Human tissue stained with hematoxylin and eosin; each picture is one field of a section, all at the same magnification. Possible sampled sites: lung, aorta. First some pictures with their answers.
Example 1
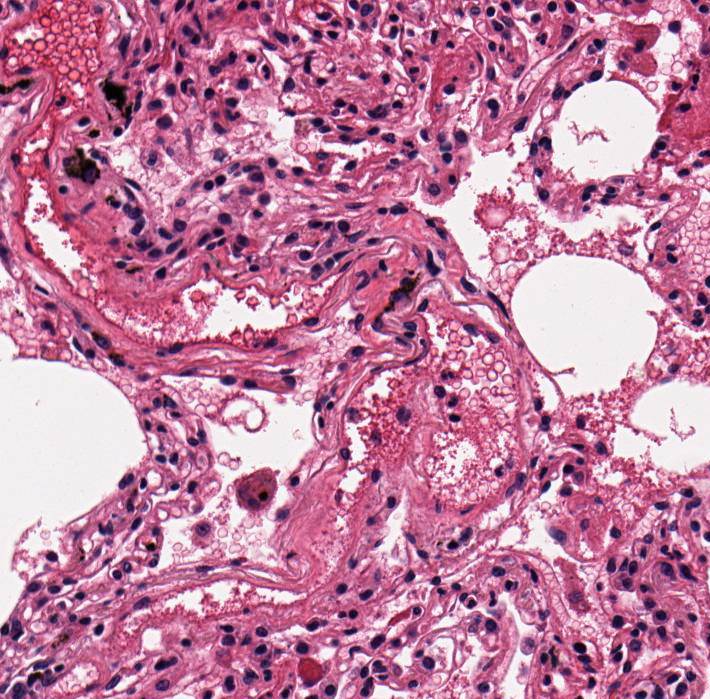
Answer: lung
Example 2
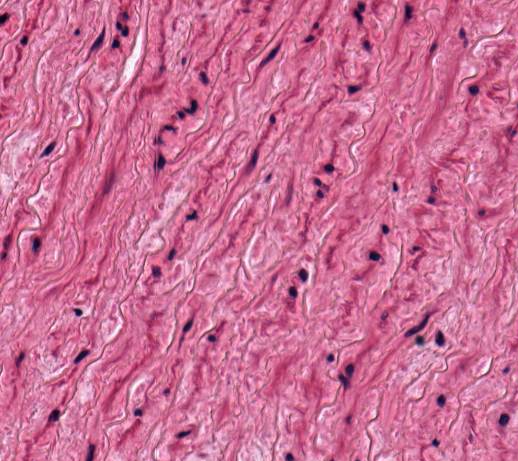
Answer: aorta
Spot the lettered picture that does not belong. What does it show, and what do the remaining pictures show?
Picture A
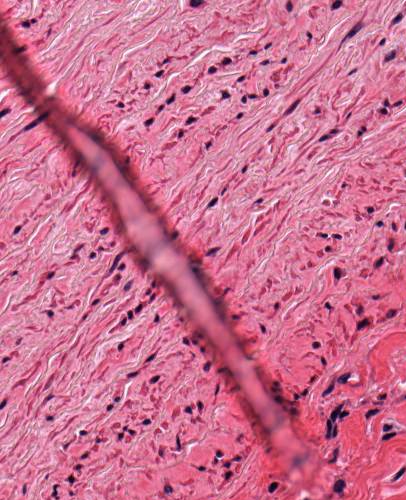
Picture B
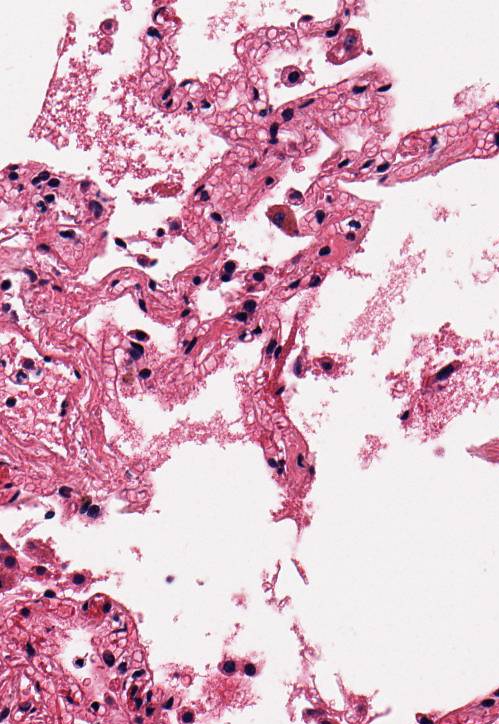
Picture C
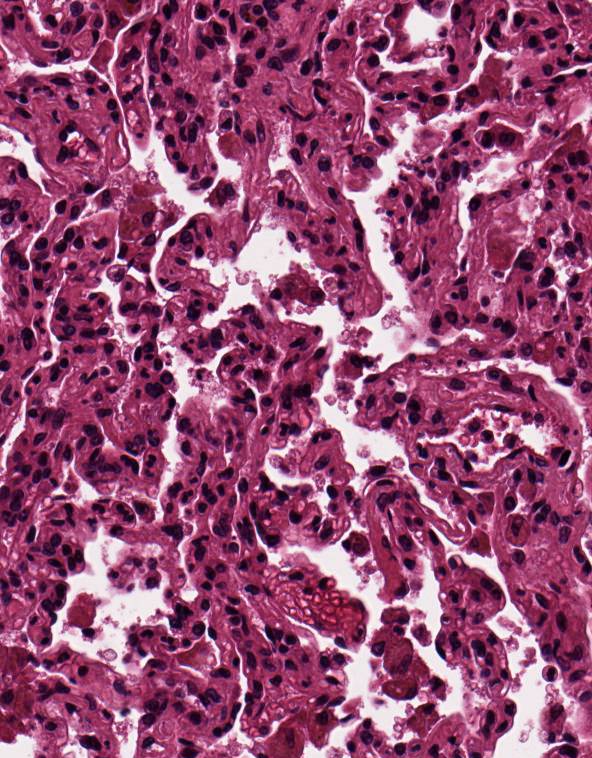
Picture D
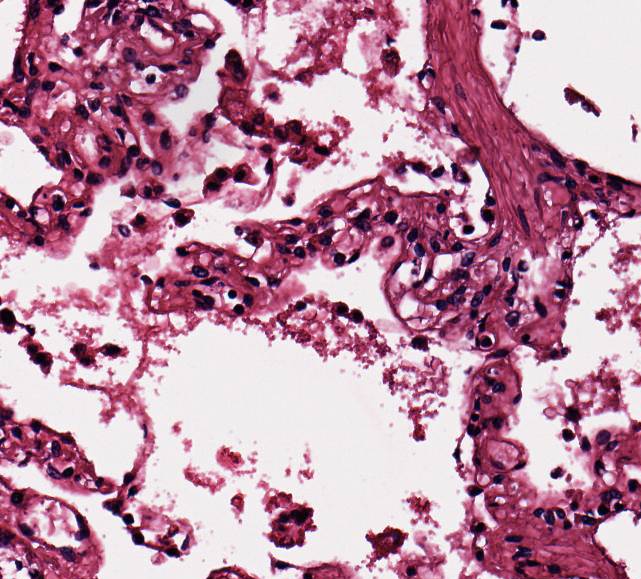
Picture A: aorta. All others: lung.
